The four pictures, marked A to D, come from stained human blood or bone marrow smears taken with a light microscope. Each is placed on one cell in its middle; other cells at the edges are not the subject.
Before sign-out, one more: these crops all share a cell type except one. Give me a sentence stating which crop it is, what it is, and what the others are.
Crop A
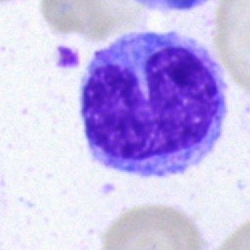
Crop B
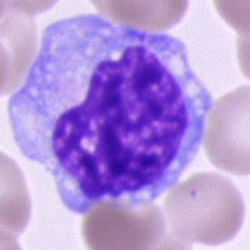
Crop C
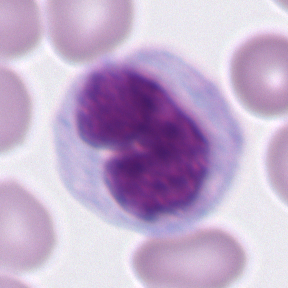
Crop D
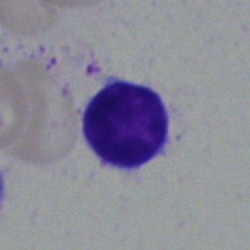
The odd one out is crop D, a lymphocyte, and all other crops show monocytes.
